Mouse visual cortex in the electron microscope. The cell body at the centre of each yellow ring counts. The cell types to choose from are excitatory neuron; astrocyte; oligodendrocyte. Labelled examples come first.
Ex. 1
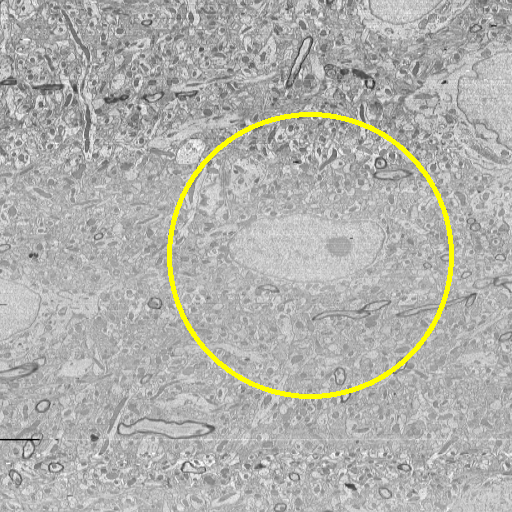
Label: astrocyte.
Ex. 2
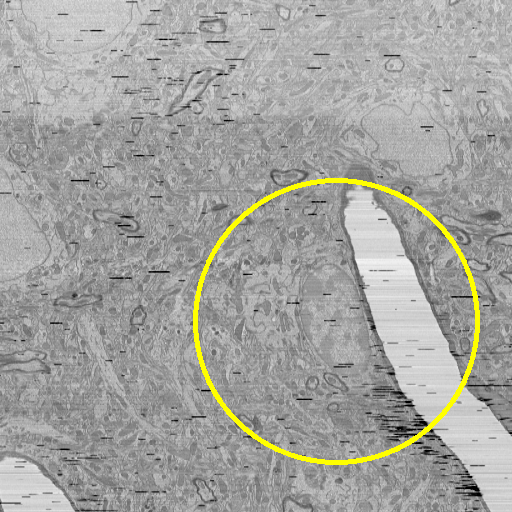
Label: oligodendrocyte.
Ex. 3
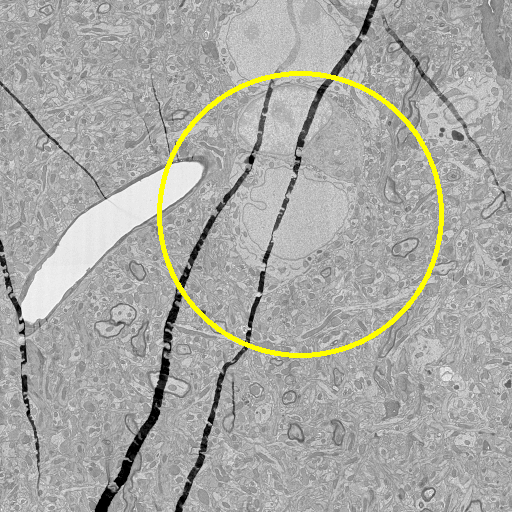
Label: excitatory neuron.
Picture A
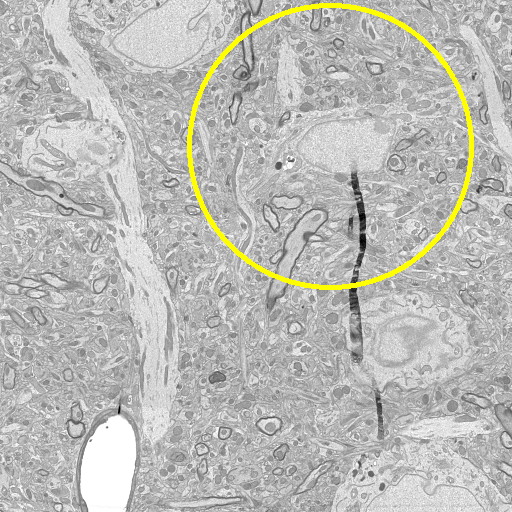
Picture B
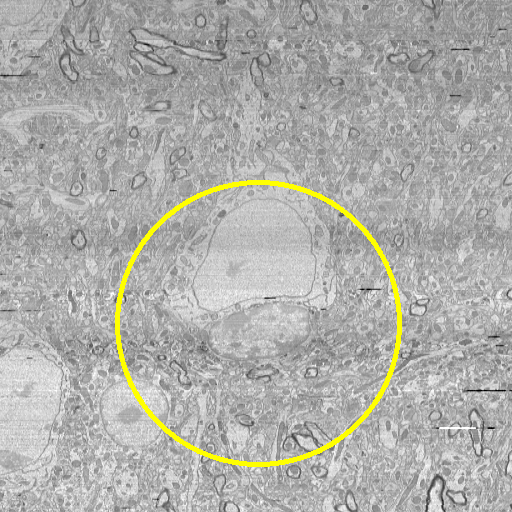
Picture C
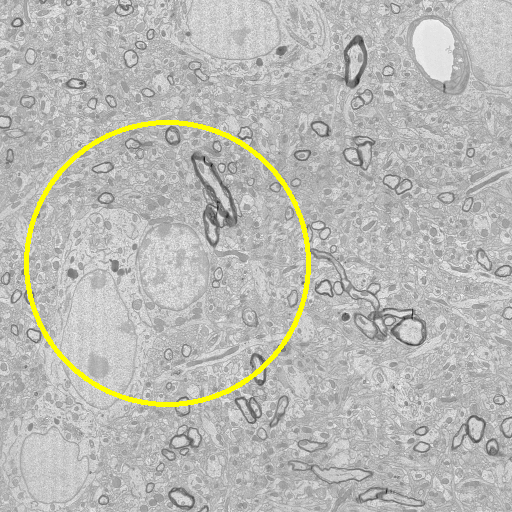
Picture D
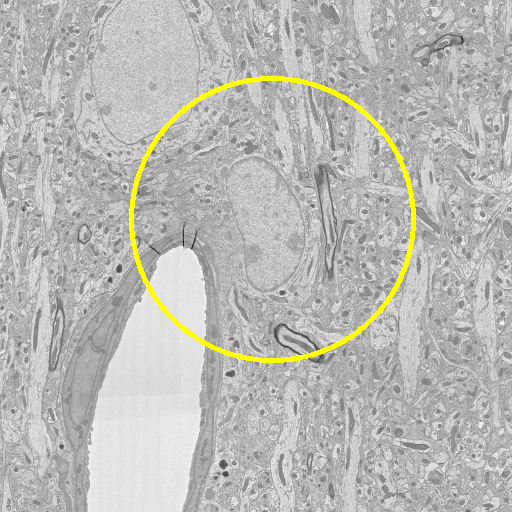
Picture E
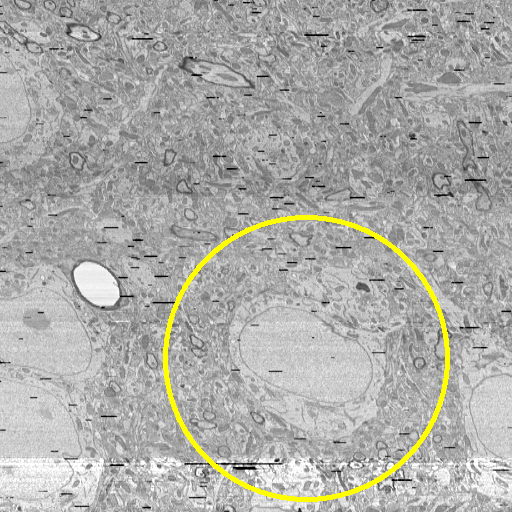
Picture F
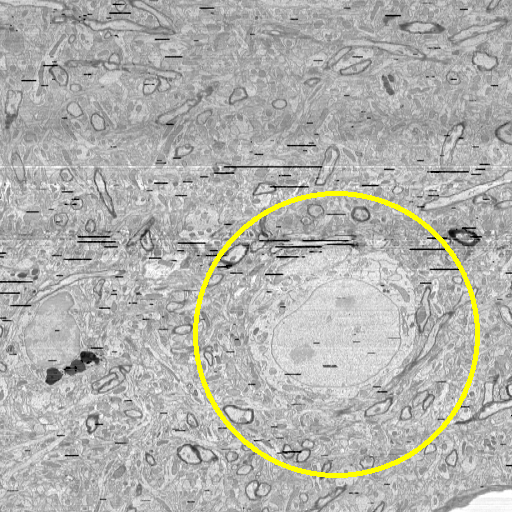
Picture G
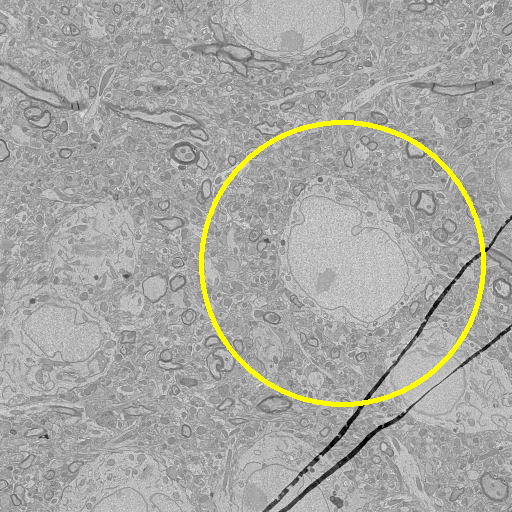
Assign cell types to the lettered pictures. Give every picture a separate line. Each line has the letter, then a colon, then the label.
A: astrocyte.
B: oligodendrocyte.
C: oligodendrocyte.
D: astrocyte.
E: excitatory neuron.
F: excitatory neuron.
G: excitatory neuron.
